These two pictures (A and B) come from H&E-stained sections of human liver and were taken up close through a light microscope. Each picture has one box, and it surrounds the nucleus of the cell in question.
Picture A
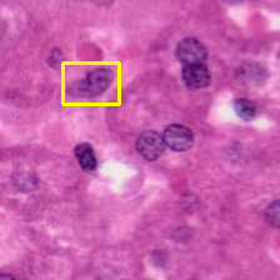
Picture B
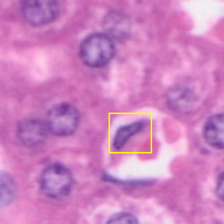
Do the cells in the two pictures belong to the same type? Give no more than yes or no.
yes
